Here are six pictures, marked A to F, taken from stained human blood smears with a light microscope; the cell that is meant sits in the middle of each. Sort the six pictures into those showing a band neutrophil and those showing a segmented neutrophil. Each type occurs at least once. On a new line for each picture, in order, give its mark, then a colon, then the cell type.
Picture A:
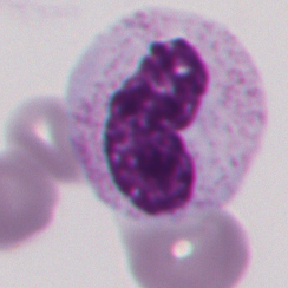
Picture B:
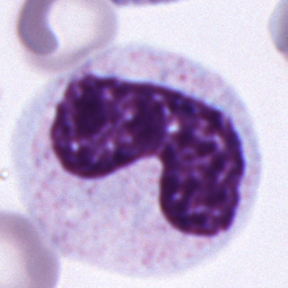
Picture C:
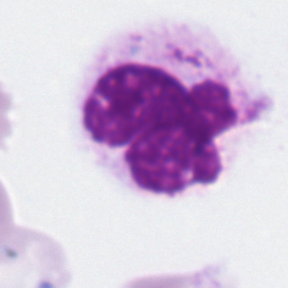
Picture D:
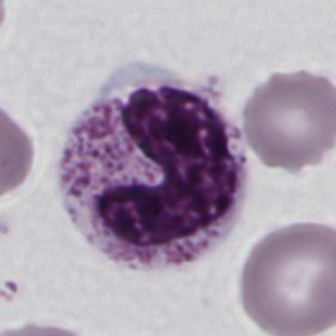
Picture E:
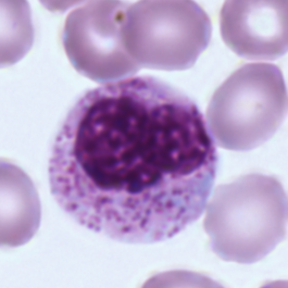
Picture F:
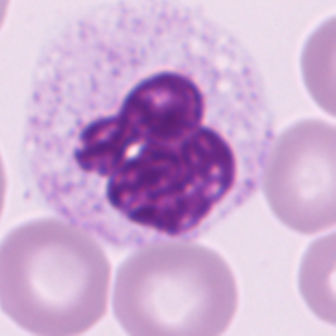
A: band neutrophil
B: band neutrophil
C: segmented neutrophil
D: band neutrophil
E: band neutrophil
F: segmented neutrophil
